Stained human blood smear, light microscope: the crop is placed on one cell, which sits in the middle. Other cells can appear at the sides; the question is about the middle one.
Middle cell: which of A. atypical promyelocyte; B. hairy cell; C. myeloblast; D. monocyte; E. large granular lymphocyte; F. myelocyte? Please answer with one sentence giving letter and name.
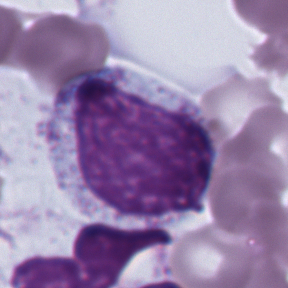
In this crop the central cell is a myelocyte, which option F correctly states.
